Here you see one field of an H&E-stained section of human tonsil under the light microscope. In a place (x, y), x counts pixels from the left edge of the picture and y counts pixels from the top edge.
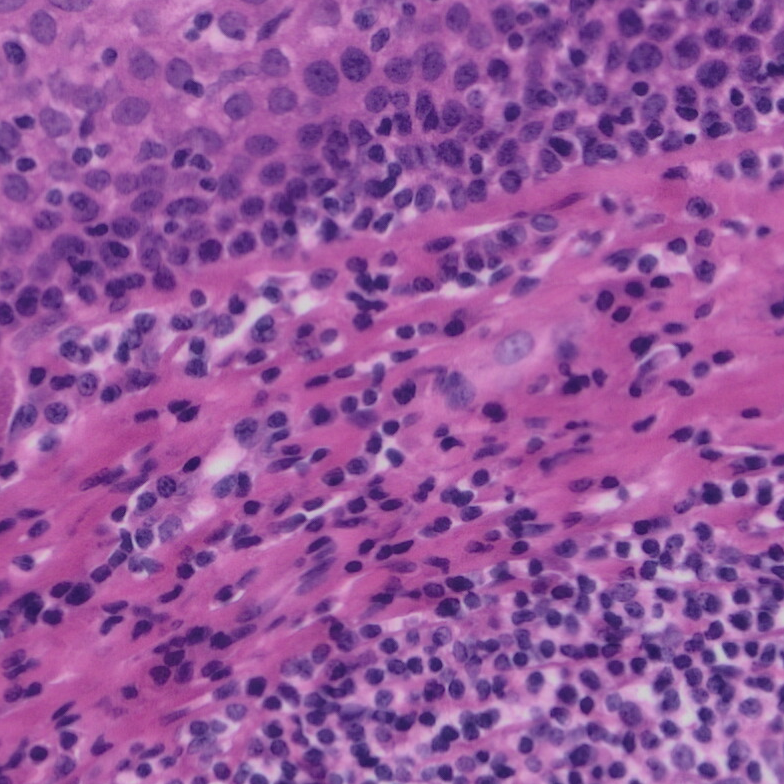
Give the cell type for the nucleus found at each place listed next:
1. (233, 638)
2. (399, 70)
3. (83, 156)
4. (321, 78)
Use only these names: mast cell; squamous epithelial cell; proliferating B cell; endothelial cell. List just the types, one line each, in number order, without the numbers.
endothelial cell
squamous epithelial cell
squamous epithelial cell
squamous epithelial cell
